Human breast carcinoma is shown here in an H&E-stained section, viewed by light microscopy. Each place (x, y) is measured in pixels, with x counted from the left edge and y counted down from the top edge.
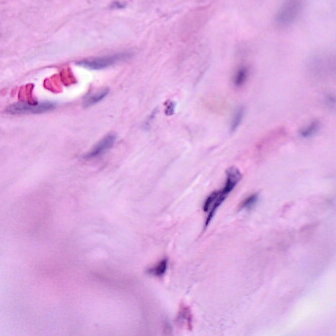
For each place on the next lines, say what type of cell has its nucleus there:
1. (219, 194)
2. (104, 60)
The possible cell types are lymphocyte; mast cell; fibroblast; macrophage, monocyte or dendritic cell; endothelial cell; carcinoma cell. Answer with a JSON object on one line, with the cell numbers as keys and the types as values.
{"1": "fibroblast", "2": "endothelial cell"}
